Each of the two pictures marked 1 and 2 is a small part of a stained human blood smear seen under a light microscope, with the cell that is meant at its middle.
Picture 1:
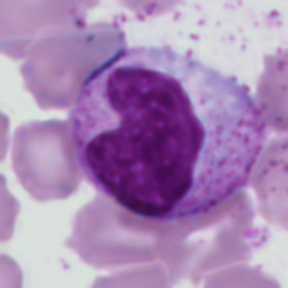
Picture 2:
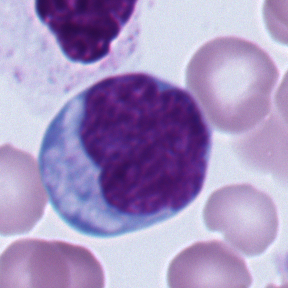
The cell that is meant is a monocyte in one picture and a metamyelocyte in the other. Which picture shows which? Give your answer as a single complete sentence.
In picture 1 the cell is a metamyelocyte; in picture 2, a monocyte.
